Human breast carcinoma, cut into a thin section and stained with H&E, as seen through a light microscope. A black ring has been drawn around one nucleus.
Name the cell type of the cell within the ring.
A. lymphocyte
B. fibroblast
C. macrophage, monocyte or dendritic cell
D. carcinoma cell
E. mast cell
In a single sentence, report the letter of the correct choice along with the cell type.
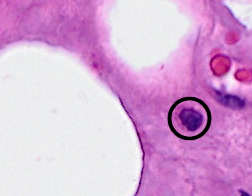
Option C, which has the cell within the ring as a macrophage, monocyte or dendritic cell, is the correct choice.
